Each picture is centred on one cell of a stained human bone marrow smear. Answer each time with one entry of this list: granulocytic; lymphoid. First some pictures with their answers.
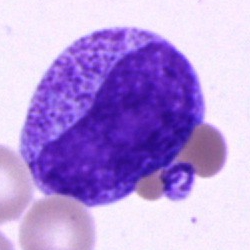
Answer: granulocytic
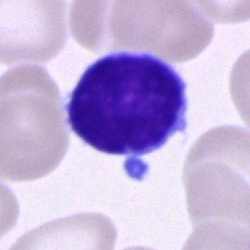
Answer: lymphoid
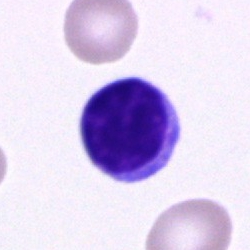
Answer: lymphoid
